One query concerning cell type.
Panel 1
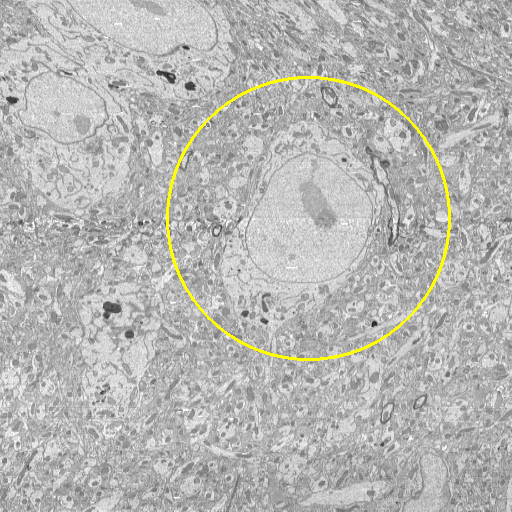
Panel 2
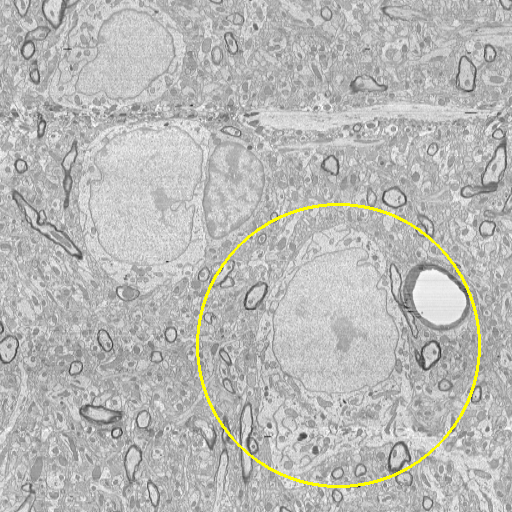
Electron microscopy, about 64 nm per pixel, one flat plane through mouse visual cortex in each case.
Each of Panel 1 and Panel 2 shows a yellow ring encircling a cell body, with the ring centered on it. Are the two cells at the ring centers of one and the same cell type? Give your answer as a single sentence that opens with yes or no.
No, the cell centered in Panel 1 and the one in Panel 2 are of two types.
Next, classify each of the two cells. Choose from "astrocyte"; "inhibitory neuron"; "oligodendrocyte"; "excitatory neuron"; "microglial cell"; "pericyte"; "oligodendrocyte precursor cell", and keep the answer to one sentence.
In the first picture it is an excitatory neuron; in the second it is an inhibitory neuron.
